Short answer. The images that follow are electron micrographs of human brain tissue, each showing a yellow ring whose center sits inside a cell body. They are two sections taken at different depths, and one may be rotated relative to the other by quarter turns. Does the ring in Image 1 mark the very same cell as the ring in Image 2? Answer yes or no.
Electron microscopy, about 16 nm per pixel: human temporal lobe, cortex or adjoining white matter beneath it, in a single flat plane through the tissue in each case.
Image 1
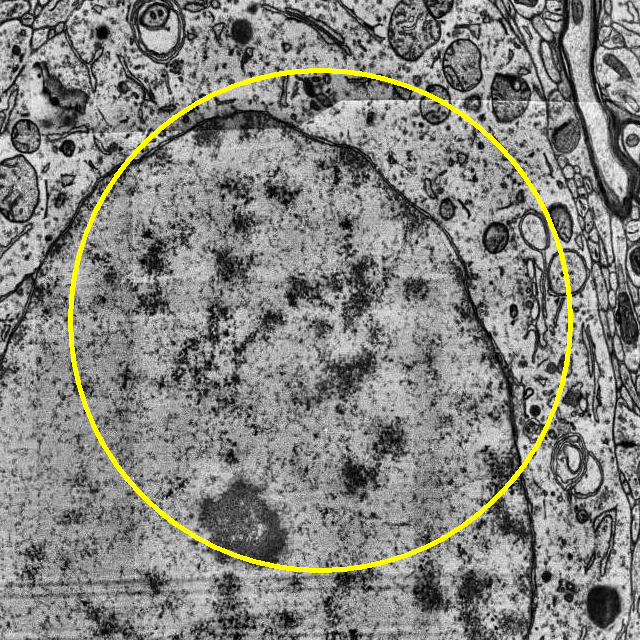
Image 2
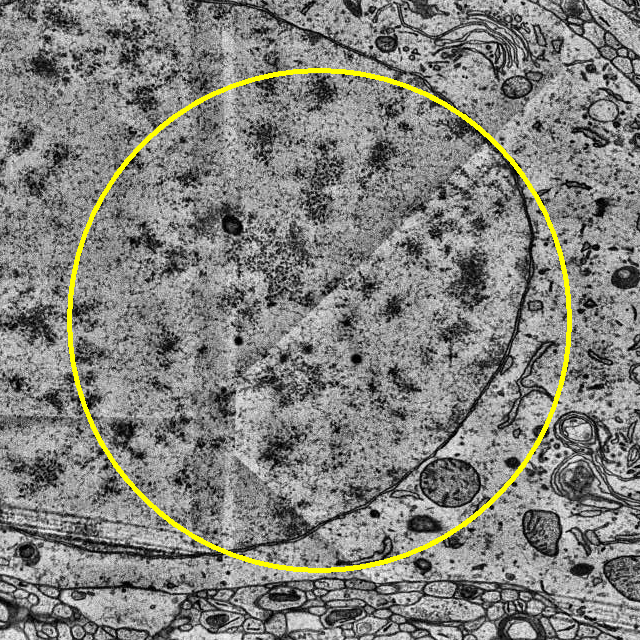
yes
